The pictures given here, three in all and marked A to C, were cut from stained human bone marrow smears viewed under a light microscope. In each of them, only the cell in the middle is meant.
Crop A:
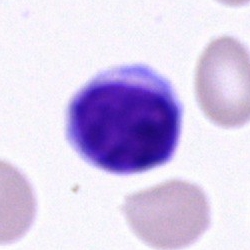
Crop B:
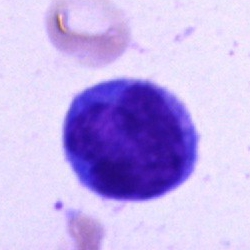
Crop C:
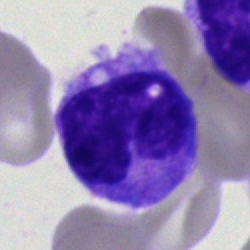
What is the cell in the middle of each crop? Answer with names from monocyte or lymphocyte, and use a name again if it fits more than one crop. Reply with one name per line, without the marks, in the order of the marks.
lymphocyte
monocyte
monocyte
